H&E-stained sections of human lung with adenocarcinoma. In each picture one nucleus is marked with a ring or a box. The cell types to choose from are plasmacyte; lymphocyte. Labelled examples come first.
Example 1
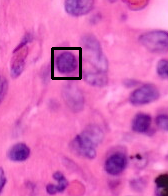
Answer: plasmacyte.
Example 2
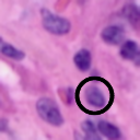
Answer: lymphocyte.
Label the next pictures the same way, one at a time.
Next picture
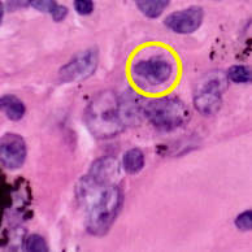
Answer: lymphocyte.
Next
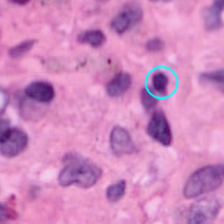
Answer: lymphocyte.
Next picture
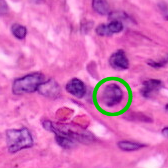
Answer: plasmacyte.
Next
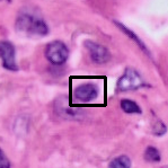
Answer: lymphocyte.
